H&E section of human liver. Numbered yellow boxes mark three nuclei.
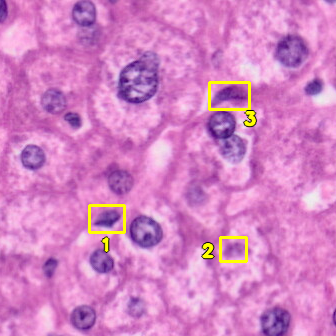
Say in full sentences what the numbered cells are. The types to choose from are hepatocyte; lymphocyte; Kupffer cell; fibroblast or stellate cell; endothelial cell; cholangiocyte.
Cell 1 is an endothelial cell, cell 2 is a hepatocyte and cell 3 is a Kupffer cell.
